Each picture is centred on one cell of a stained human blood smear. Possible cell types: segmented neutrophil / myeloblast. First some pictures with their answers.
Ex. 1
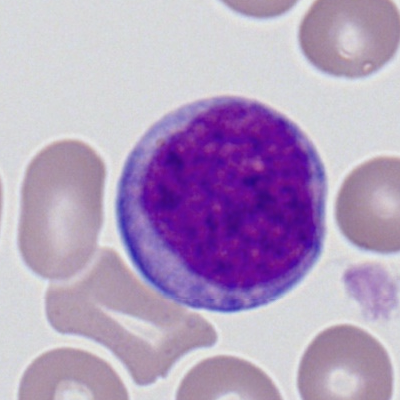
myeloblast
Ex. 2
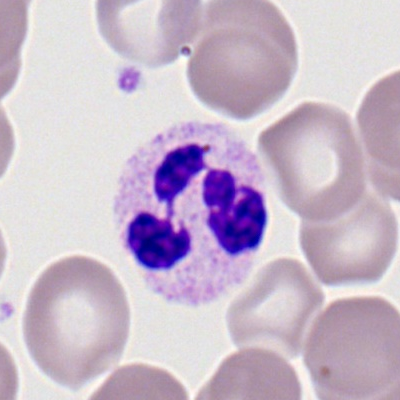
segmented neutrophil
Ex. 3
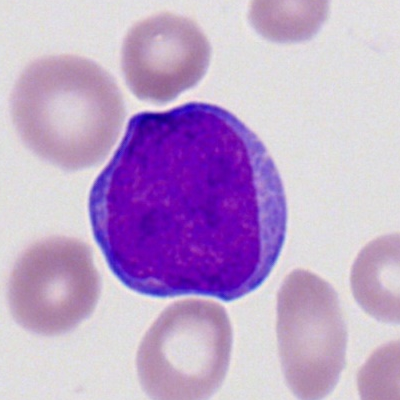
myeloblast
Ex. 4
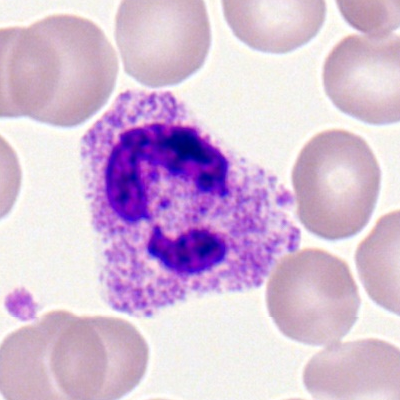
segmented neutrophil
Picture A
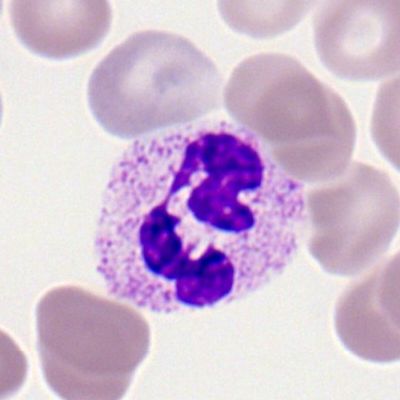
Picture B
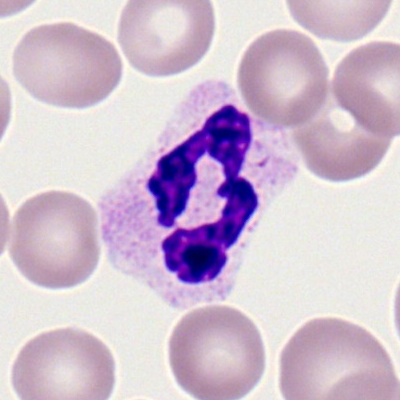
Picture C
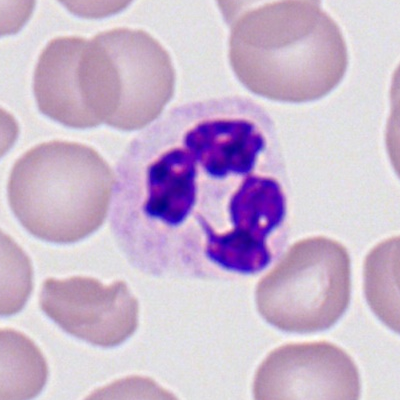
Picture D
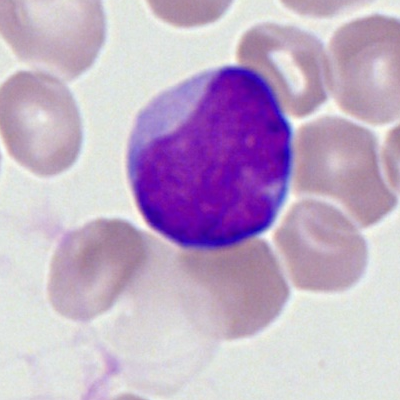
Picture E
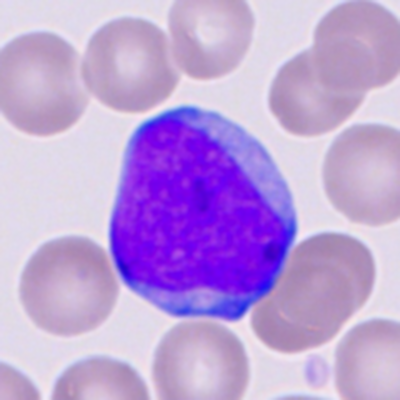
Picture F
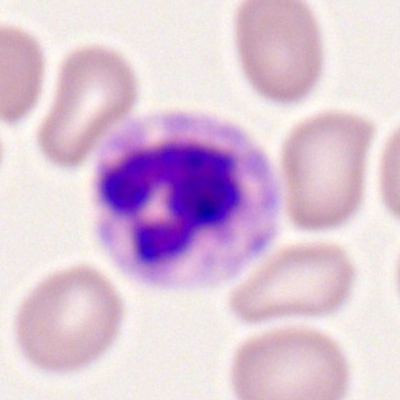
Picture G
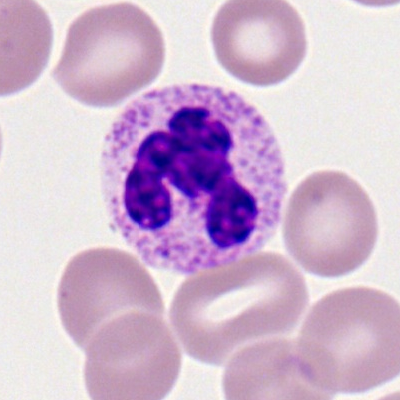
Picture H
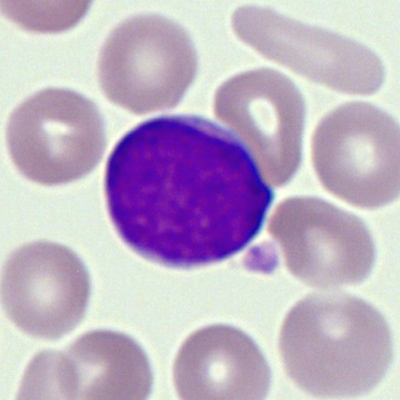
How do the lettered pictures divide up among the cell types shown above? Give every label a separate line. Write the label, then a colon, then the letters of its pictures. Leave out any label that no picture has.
segmented neutrophil: A, B, C, F, G
myeloblast: D, E, H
